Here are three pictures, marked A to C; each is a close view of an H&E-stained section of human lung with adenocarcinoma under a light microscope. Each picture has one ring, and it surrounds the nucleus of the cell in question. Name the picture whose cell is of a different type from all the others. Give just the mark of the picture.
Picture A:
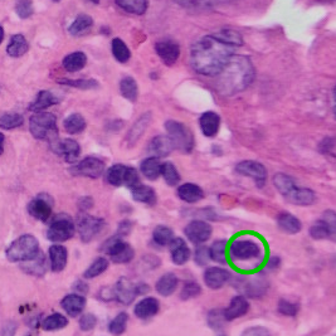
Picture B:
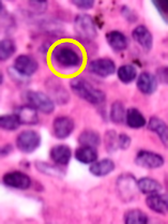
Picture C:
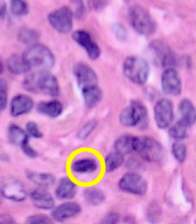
B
